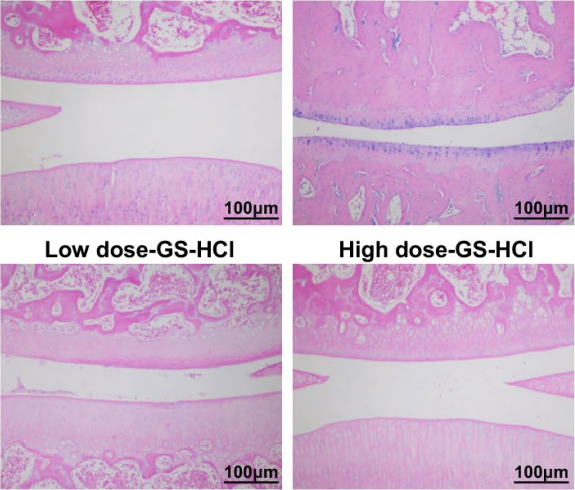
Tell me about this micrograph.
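Four pink-stained sections of a joint, each showing two layers of articular cartilage facing each other across a white joint space, with bone and marrow spaces beneath. Small chondrocytes lie in lacunae within the smooth, glassy pink matrix. In one section the cartilage surfaces are lined by a band of purple-stained nuclei, and the pink layer looks less uniform than in the others.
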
